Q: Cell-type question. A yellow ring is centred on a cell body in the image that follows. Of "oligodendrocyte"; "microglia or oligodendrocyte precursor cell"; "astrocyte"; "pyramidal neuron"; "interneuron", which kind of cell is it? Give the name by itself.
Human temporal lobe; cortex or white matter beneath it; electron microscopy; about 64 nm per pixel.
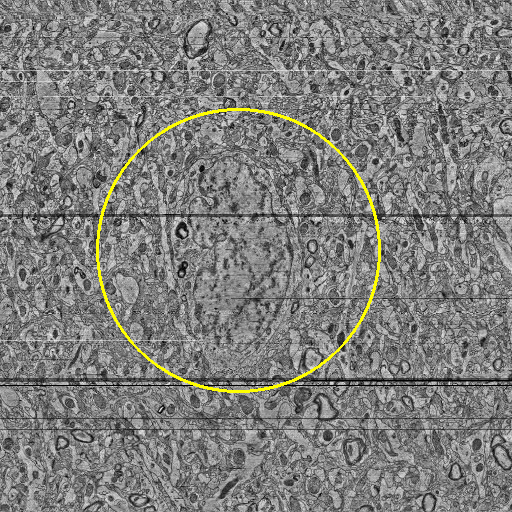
interneuron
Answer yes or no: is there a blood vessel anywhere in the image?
No.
